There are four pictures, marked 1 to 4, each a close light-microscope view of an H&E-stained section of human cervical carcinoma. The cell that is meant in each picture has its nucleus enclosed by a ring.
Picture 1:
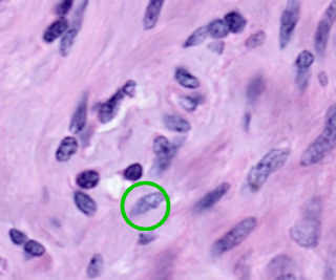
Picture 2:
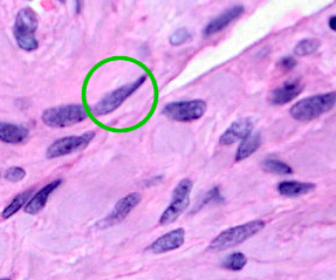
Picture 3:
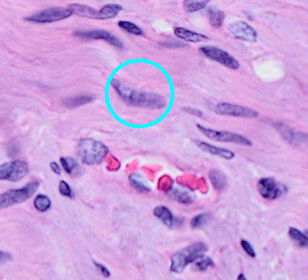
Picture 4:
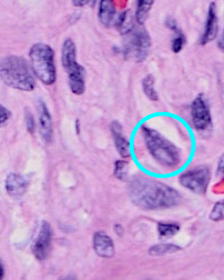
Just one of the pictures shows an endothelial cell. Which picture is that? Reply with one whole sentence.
The endothelial cell is the one in picture 4.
